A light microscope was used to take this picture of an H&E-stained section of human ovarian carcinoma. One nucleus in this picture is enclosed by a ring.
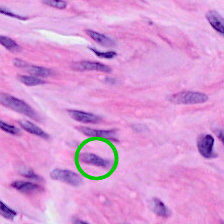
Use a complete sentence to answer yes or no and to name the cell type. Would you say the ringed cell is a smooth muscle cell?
Yes, that is right: the ringed cell is a smooth muscle cell.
